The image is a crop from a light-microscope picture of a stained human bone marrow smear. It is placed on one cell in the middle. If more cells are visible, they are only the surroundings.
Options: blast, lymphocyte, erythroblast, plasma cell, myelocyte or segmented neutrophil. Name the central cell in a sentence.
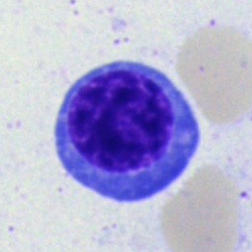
This crop has an erythroblast at its centre.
